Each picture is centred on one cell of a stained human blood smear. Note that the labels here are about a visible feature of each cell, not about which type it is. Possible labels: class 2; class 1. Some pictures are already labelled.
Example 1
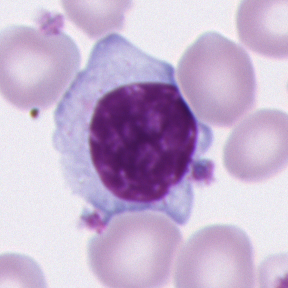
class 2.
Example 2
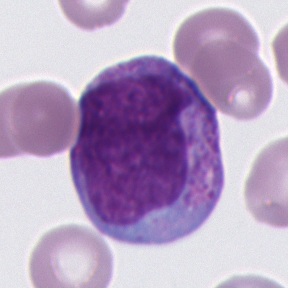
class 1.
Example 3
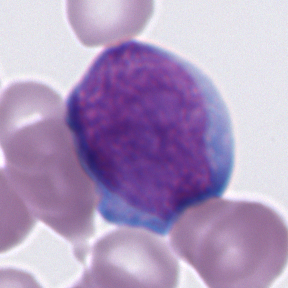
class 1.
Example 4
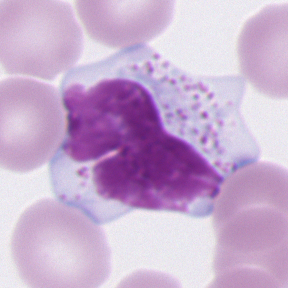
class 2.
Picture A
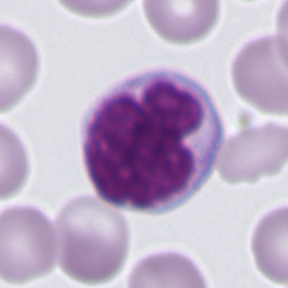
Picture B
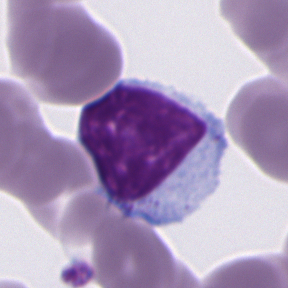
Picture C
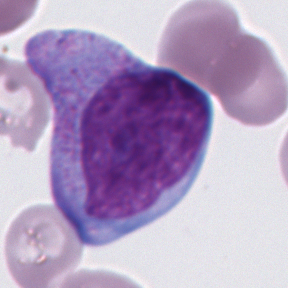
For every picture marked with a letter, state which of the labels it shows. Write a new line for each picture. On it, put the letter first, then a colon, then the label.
A: class 1.
B: class 2.
C: class 2.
